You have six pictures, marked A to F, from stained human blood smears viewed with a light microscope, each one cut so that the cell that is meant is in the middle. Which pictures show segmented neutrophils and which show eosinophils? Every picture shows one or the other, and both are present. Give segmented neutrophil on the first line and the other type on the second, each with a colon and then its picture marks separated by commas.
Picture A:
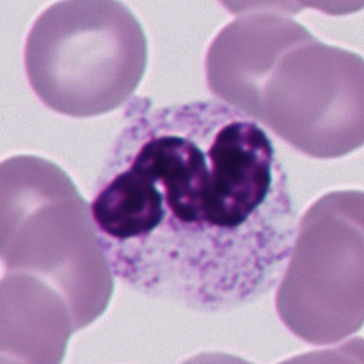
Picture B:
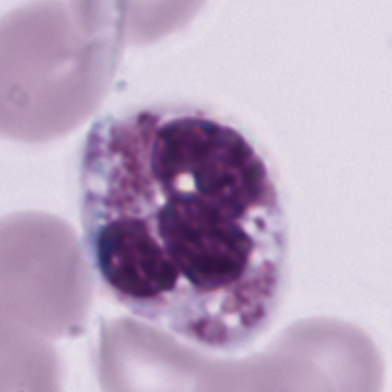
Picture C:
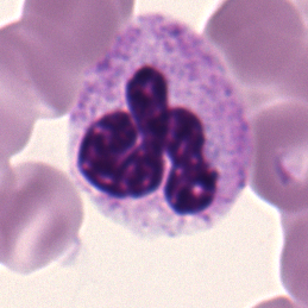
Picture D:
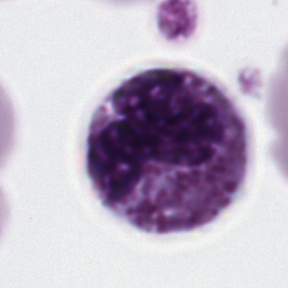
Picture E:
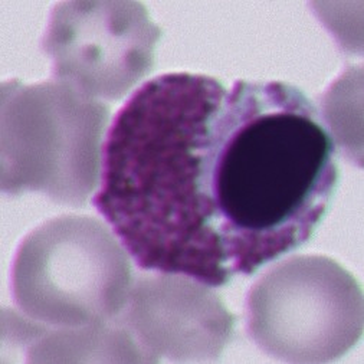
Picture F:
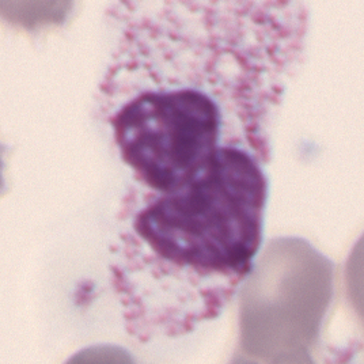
segmented neutrophil: A, C, F
eosinophil: B, D, E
